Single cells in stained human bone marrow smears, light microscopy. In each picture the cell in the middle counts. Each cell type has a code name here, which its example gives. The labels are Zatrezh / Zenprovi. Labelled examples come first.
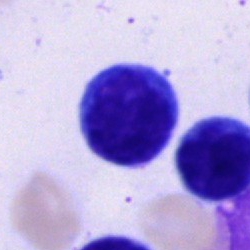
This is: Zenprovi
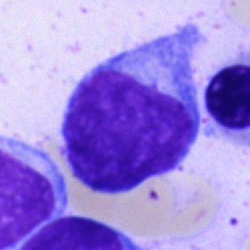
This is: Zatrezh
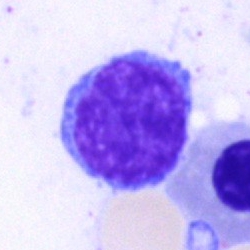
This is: Zenprovi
